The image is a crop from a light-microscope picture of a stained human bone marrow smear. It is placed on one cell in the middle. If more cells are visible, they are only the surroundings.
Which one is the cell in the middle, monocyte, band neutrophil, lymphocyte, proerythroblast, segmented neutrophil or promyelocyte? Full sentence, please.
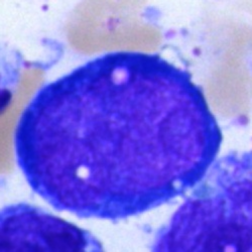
The centrally placed cell is classified as a proerythroblast.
